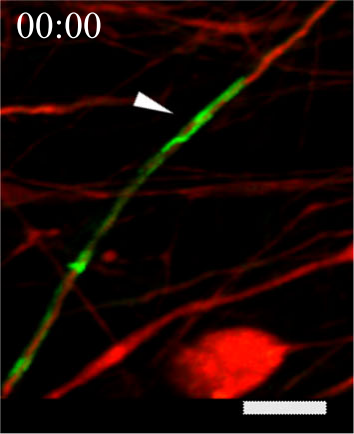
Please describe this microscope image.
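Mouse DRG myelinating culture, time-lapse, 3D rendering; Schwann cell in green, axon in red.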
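The green process follows one long red fibre diagonally across the field and is closely applied to it, with small brighter swellings along its length. Where the arrowhead points, the green band twists around the fibre, showing a spiral turn. Many other red fibres cross the background, and a large bright red cell body lies near the bottom.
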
